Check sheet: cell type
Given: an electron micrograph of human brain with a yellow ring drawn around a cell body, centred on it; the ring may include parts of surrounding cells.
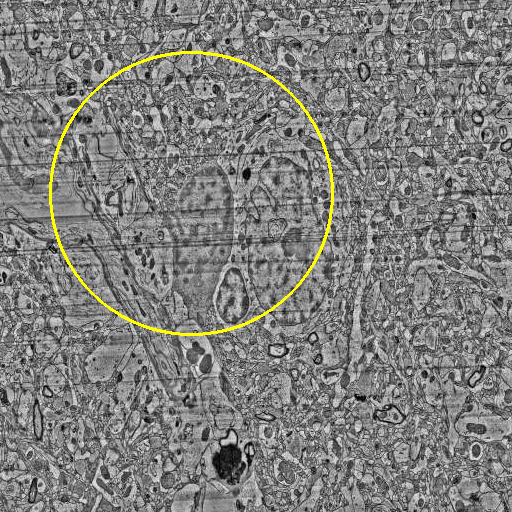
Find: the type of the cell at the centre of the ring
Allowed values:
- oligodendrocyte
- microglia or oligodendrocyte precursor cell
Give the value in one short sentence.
Here the ringed cell is an oligodendrocyte.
